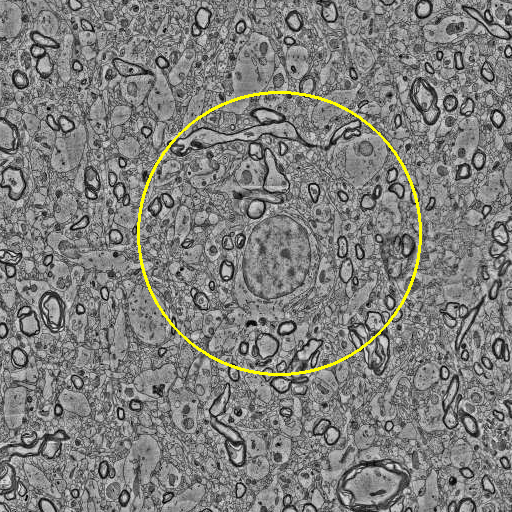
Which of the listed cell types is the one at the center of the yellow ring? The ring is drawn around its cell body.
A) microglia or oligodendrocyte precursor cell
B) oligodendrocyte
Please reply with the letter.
A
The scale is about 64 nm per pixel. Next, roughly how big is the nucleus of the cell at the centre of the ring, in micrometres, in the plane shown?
Roughly 6 micrometres by 5 micrometres, in this plane.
